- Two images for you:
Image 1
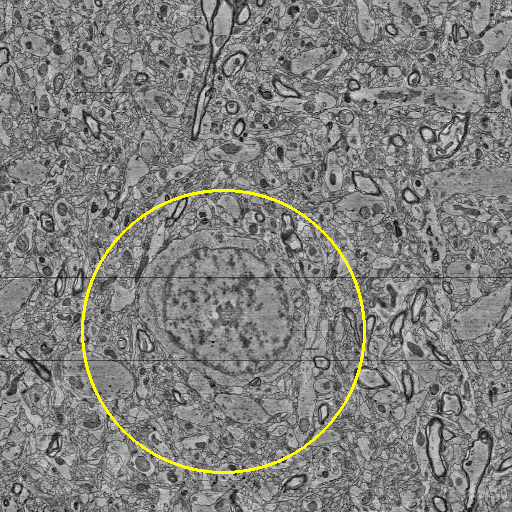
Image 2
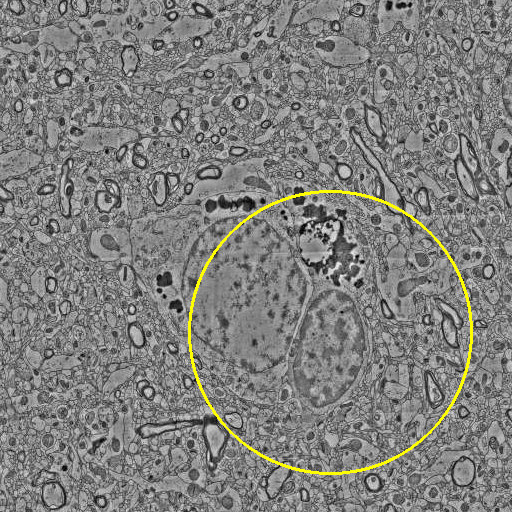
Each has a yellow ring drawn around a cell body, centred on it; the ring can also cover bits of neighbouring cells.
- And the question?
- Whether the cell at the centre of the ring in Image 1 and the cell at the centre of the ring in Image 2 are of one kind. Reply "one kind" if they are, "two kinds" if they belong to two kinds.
two kinds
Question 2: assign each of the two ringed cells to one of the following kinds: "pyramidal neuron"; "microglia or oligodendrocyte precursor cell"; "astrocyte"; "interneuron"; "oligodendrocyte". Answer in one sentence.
The two cells are an interneuron in the first picture and an oligodendrocyte in the second.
